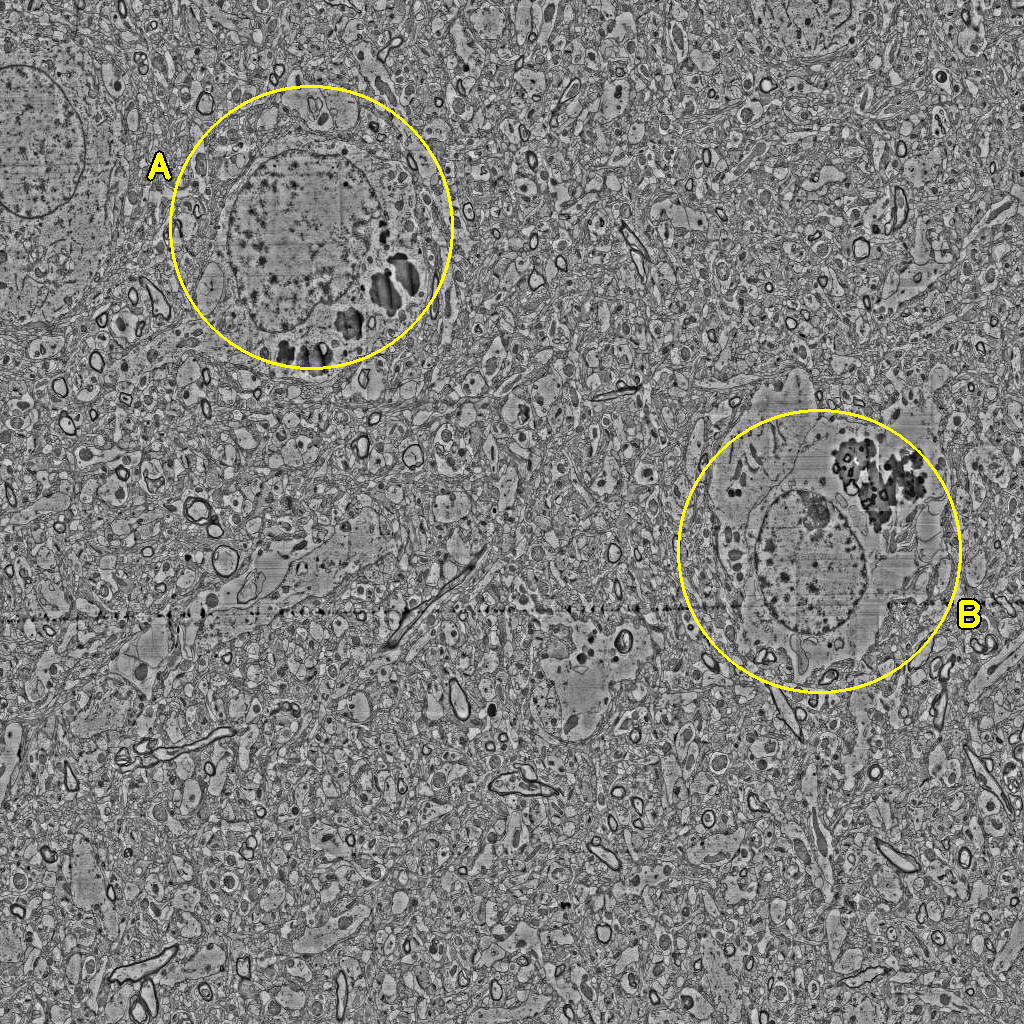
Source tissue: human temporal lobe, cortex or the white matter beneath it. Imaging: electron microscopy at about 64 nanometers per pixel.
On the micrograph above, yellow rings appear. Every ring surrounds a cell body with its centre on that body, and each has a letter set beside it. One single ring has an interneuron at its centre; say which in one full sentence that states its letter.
The answer is ring A, whose centre lies on the cell asked for.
